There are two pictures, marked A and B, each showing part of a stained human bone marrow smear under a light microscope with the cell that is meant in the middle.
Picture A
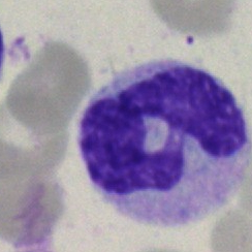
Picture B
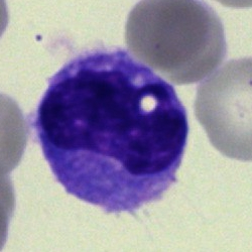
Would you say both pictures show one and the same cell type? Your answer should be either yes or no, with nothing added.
yes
